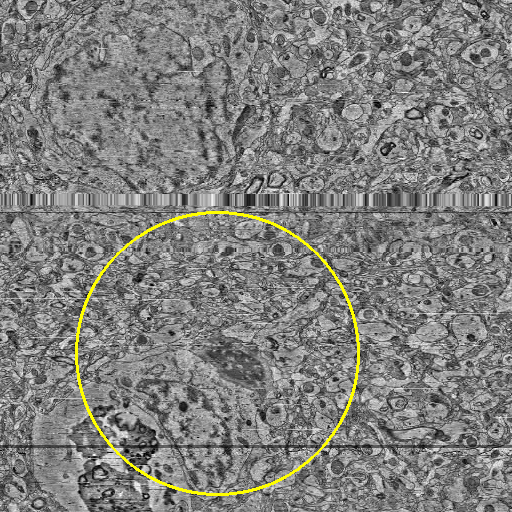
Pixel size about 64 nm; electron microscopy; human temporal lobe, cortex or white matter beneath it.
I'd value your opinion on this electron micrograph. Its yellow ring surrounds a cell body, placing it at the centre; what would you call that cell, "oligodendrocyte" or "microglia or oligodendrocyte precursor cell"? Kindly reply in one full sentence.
It is an oligodendrocyte that sits centred within the yellow ring in this micrograph.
